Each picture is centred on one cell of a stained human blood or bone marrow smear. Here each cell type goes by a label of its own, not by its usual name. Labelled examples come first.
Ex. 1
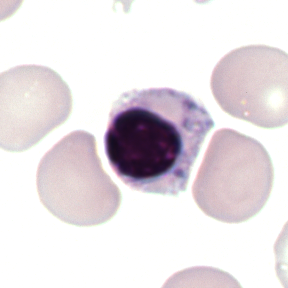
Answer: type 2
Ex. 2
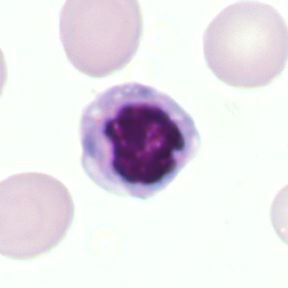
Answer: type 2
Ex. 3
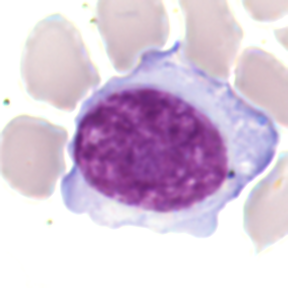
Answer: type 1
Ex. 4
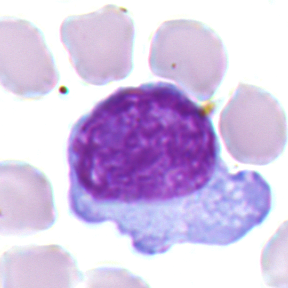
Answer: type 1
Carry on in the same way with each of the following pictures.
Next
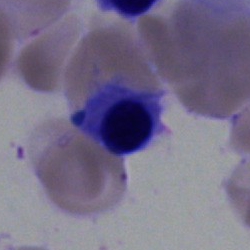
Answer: type 2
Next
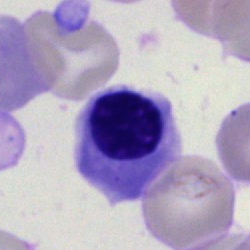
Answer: type 2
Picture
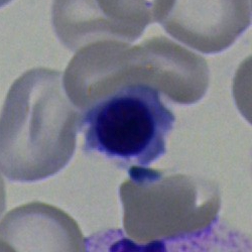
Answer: type 2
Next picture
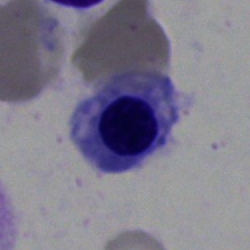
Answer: type 2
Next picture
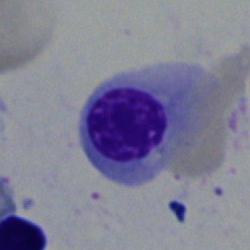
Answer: type 2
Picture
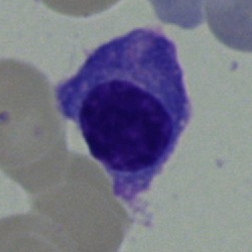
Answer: type 1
